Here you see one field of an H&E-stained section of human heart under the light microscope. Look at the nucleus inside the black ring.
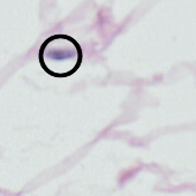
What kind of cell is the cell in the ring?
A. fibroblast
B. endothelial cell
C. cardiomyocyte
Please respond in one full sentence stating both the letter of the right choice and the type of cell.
According to option A, the cell in the ring is a fibroblast, and this is correct.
